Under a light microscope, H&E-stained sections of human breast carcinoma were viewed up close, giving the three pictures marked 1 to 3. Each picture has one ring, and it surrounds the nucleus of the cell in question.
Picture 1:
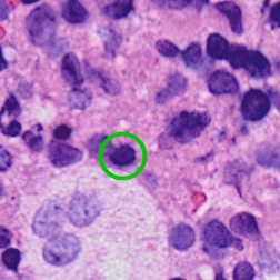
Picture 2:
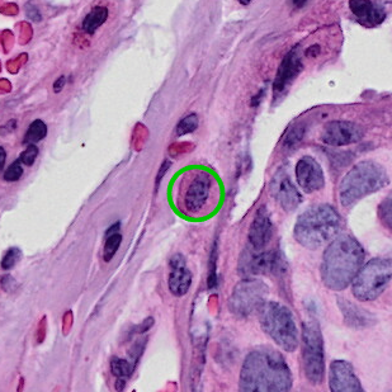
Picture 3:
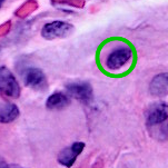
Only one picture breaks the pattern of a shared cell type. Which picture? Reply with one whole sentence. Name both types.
Picture 1 is the odd one out: it shows a carcinoma cell, while the others show mast cells.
